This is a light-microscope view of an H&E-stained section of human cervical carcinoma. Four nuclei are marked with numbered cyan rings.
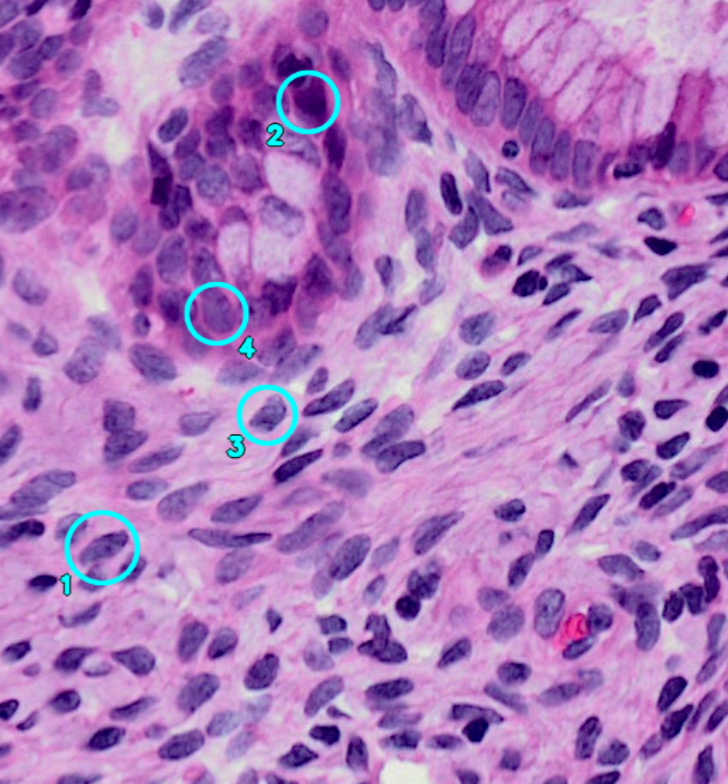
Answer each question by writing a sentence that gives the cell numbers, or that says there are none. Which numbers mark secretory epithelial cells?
The cells carrying labels 2 and 4 are secretory epithelial cells.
